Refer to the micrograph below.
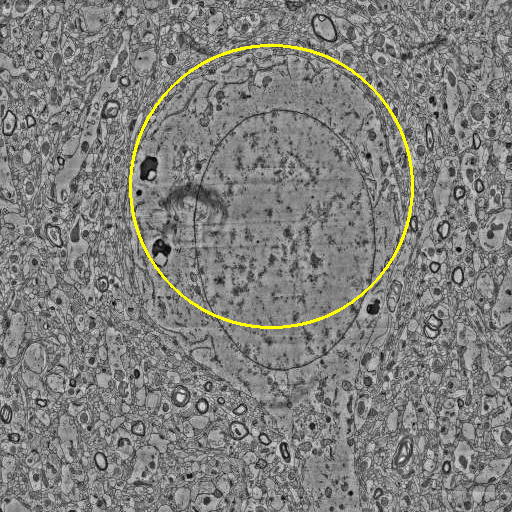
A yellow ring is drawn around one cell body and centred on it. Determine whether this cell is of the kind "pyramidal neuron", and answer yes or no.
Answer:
yes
